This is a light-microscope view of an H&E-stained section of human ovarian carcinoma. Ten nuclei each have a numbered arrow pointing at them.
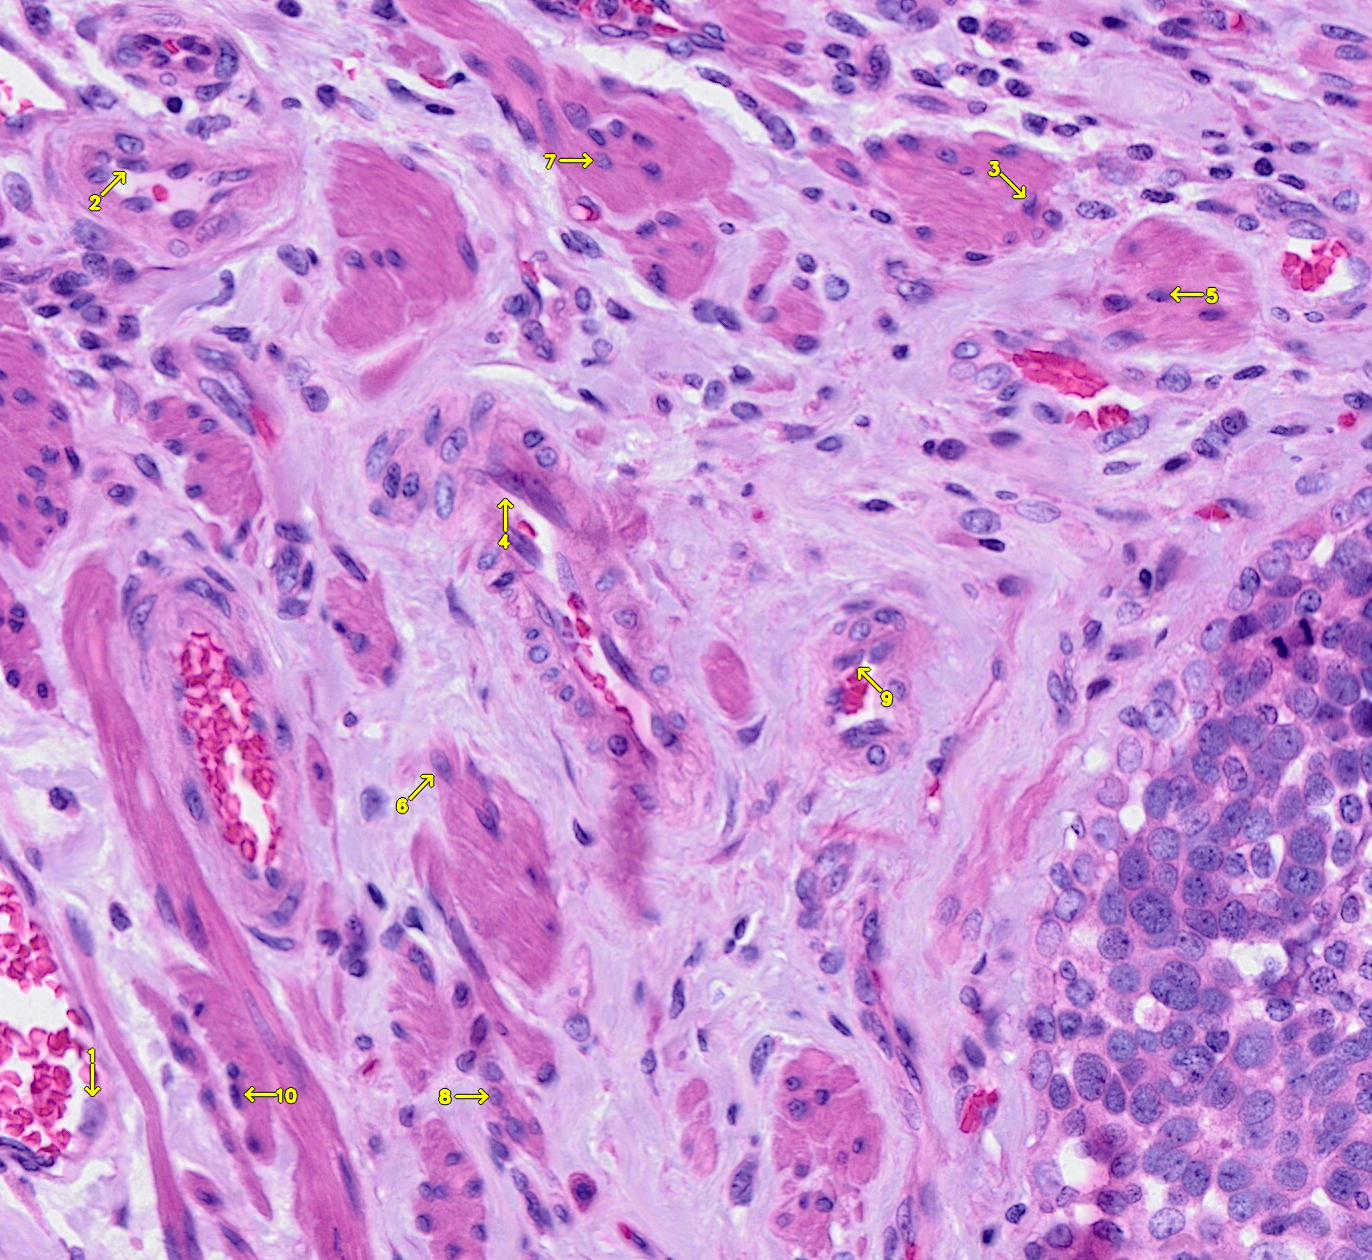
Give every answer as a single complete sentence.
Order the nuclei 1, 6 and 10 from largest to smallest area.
Largest first, the order by area is 1, 6, 10.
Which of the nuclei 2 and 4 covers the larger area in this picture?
At about 2 times the area of nucleus 2, nucleus 4 is the larger of the two.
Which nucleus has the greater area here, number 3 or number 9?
Nucleus 9 is larger, with an area about 2 times that of nucleus 3.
